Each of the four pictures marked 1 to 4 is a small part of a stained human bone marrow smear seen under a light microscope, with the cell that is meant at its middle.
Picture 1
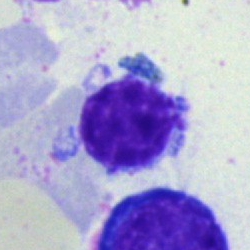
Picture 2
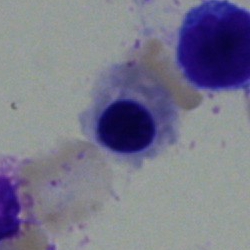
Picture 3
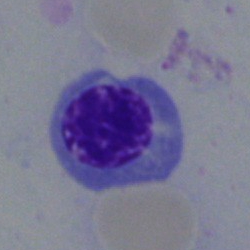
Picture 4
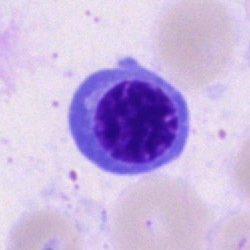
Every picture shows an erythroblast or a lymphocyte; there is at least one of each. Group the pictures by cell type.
1: lymphocyte
2: erythroblast
3: erythroblast
4: erythroblast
